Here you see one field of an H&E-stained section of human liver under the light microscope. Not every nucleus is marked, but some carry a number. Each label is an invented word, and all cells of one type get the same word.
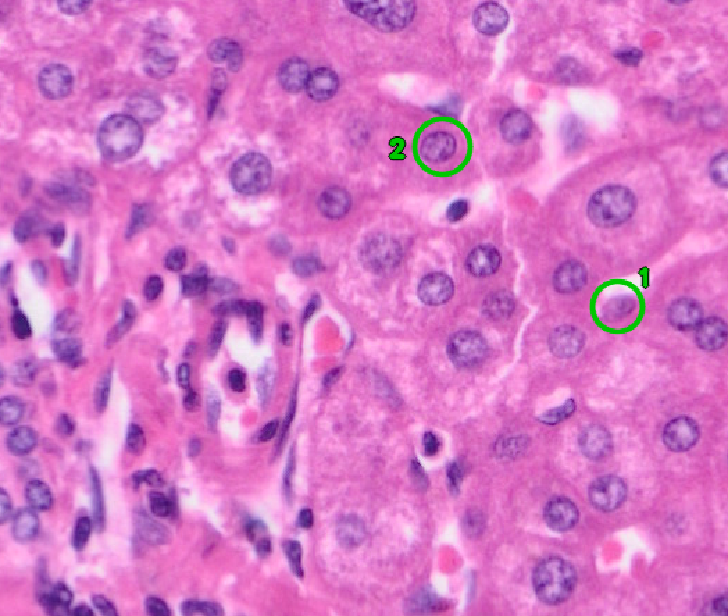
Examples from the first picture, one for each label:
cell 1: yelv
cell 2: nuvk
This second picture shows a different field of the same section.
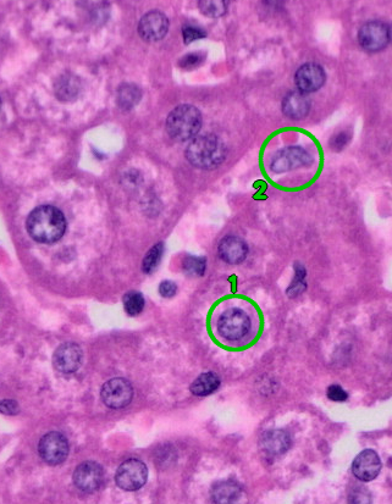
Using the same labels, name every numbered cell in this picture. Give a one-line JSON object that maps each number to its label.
{"1": "nuvk", "2": "yelv"}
